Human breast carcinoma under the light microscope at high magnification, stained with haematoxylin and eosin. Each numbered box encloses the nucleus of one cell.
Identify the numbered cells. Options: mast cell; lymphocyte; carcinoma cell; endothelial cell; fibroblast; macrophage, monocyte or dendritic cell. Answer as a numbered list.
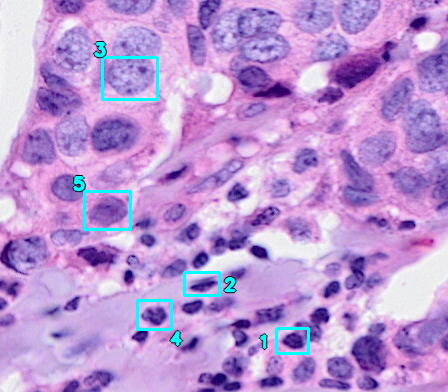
1. lymphocyte
2. lymphocyte
3. carcinoma cell
4. lymphocyte
5. carcinoma cell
